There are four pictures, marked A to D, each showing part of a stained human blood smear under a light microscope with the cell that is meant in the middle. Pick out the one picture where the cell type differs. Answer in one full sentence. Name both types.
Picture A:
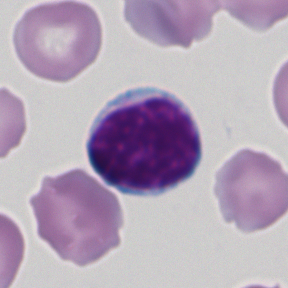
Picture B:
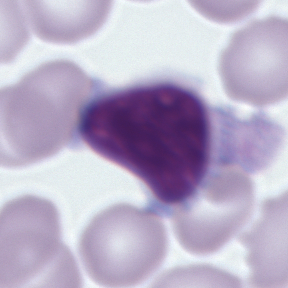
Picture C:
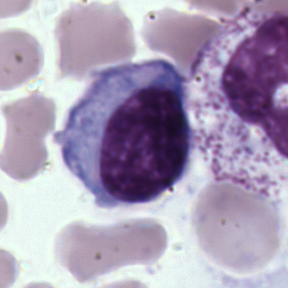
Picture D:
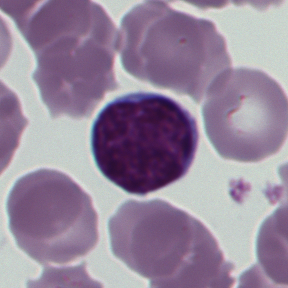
The different one is picture C; it shows a plasma cell, whereas all the others show typical lymphocytes.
